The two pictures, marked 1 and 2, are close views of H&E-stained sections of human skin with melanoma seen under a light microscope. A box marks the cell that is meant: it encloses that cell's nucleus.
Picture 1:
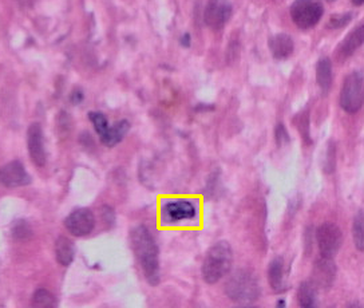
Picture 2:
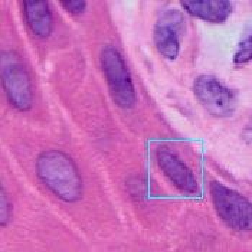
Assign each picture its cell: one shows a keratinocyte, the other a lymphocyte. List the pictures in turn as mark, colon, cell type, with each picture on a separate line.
1: lymphocyte
2: keratinocyte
